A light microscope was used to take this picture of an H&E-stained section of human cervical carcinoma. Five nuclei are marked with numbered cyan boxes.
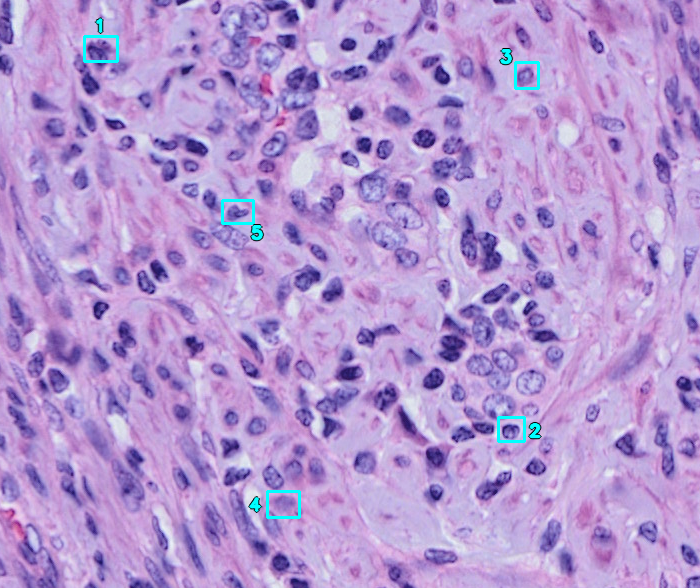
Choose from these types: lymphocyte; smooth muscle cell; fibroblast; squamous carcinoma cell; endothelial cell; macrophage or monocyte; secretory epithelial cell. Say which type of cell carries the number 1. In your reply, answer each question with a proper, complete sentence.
The cell identified by the number 1 is a lymphocyte.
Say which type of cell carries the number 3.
Belonging to a smooth muscle cell is the nucleus that carries the number 3.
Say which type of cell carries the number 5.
Marked with the number 5, this cell is a smooth muscle cell.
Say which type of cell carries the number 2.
The cell carrying label 2 is identified as a lymphocyte.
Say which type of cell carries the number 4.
The cell that bears the number 4 is a smooth muscle cell.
